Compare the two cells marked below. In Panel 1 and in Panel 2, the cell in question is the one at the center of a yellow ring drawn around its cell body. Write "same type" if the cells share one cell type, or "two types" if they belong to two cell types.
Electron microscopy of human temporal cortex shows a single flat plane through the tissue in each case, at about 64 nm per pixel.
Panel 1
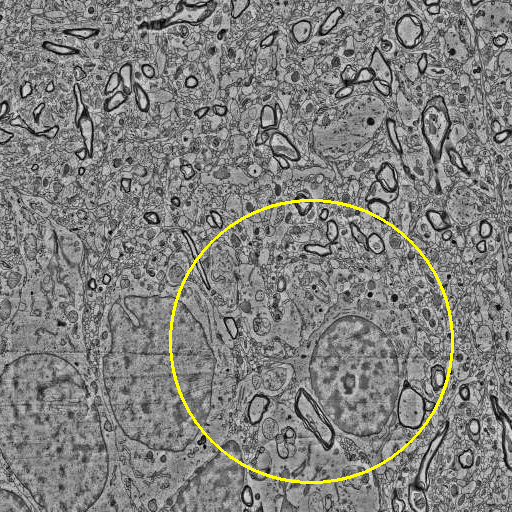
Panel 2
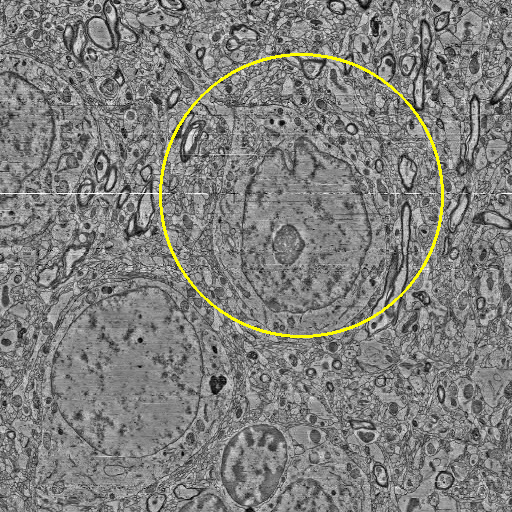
same type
